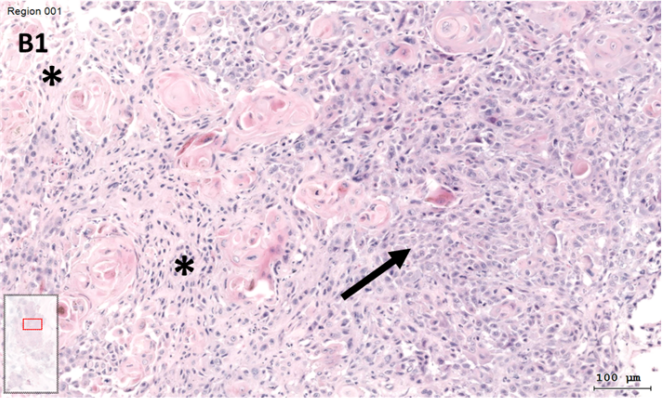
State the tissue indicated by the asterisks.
tumor stroma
